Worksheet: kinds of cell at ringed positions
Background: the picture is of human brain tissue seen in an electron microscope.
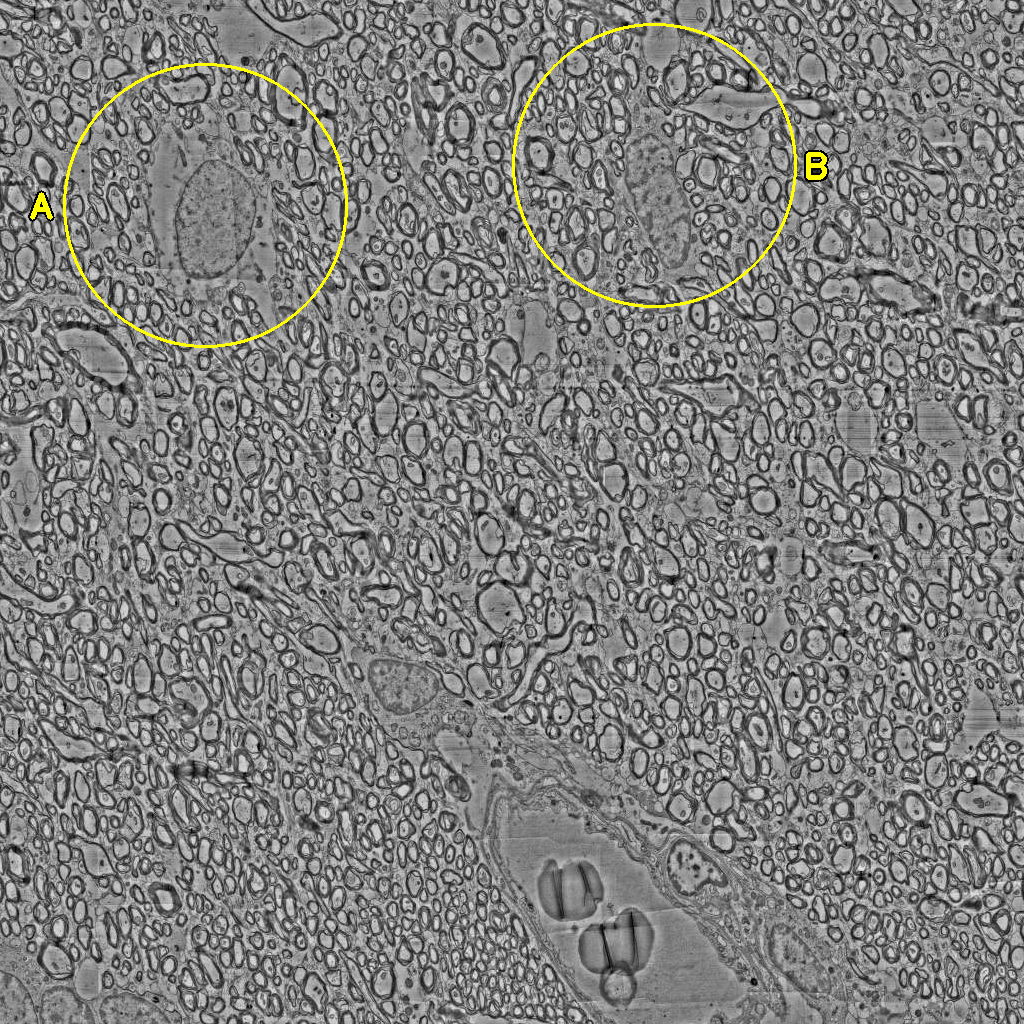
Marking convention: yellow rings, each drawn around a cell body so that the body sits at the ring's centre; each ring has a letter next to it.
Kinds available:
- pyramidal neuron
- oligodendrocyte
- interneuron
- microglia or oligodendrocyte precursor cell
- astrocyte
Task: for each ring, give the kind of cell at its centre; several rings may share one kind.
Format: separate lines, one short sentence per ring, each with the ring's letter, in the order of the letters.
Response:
Ring A is drawn around an astrocyte.
Ring B is drawn around an oligodendrocyte.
